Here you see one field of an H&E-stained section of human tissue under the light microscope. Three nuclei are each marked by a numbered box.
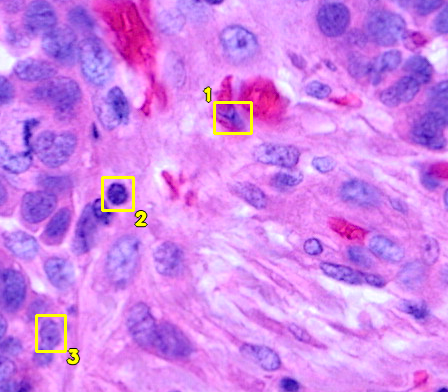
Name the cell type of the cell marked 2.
lymphocyte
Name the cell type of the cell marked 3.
macrophage or monocyte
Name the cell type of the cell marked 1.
endothelial cell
